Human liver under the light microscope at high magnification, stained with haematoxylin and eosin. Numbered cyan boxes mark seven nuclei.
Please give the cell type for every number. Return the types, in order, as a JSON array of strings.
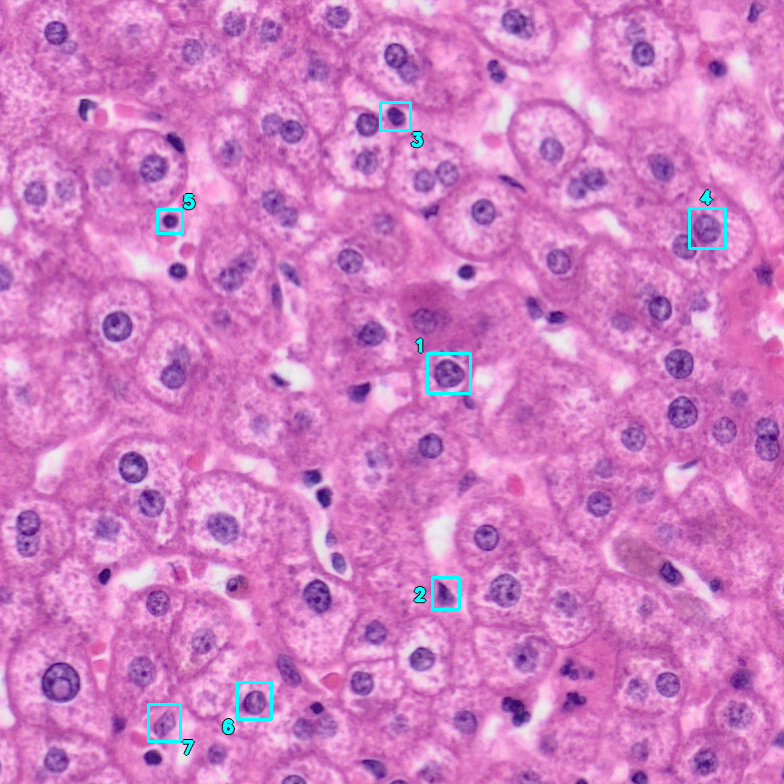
["hepatocyte", "endothelial cell", "lymphocyte", "hepatocyte", "lymphocyte", "hepatocyte", "Kupffer cell"]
